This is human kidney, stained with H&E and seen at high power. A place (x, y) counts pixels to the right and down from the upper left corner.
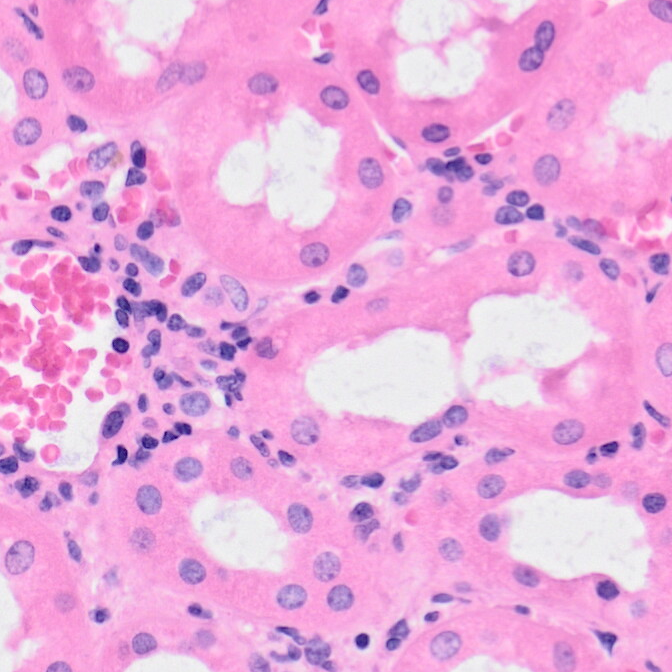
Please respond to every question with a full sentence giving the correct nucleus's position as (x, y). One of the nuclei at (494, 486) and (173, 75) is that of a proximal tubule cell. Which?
The nucleus that belongs to a proximal tubule cell sits at (173, 75).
